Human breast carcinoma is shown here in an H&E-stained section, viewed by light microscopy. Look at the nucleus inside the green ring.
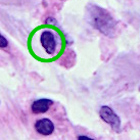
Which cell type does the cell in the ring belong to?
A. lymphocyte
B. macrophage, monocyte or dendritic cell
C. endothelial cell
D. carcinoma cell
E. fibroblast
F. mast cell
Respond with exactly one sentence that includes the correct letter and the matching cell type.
Since the cell in the ring is a lymphocyte, the right option is A.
